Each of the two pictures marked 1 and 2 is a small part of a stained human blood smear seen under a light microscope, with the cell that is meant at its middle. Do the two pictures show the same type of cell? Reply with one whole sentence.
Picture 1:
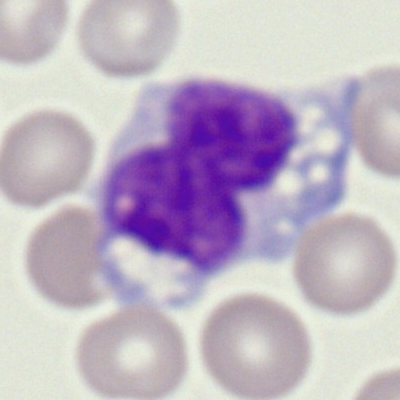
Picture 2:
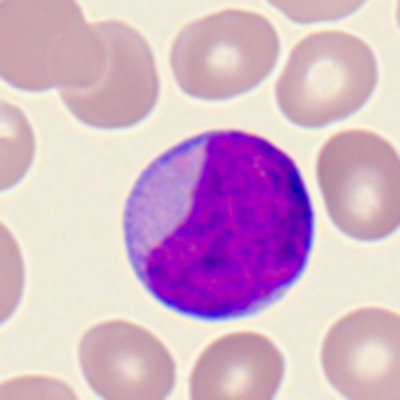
No, picture 1 shows a monocyte and picture 2 shows a myeloblast.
